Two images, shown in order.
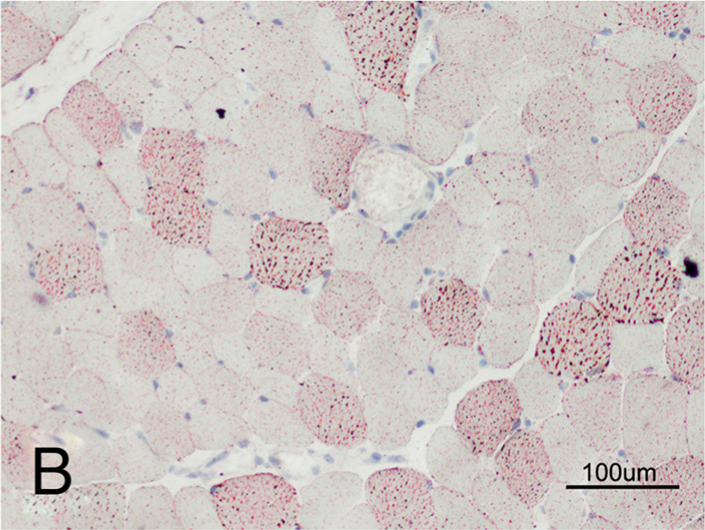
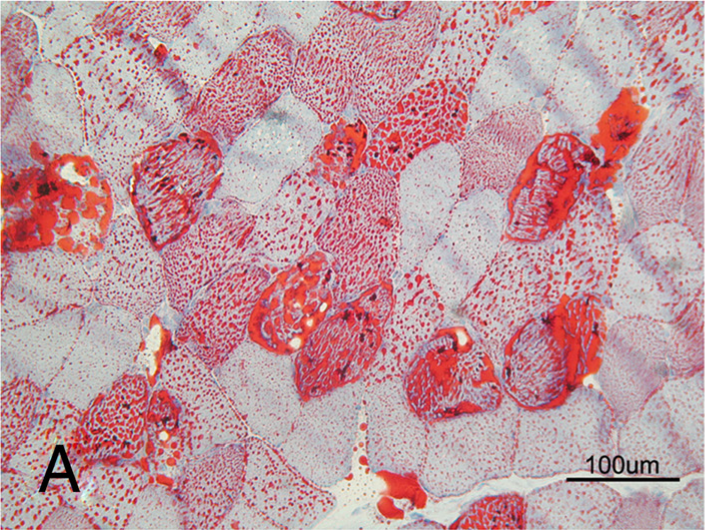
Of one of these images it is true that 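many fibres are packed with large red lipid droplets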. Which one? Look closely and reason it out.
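The second image. Second image: most fibres hold dense red droplets and several are filled with large bright red masses.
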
